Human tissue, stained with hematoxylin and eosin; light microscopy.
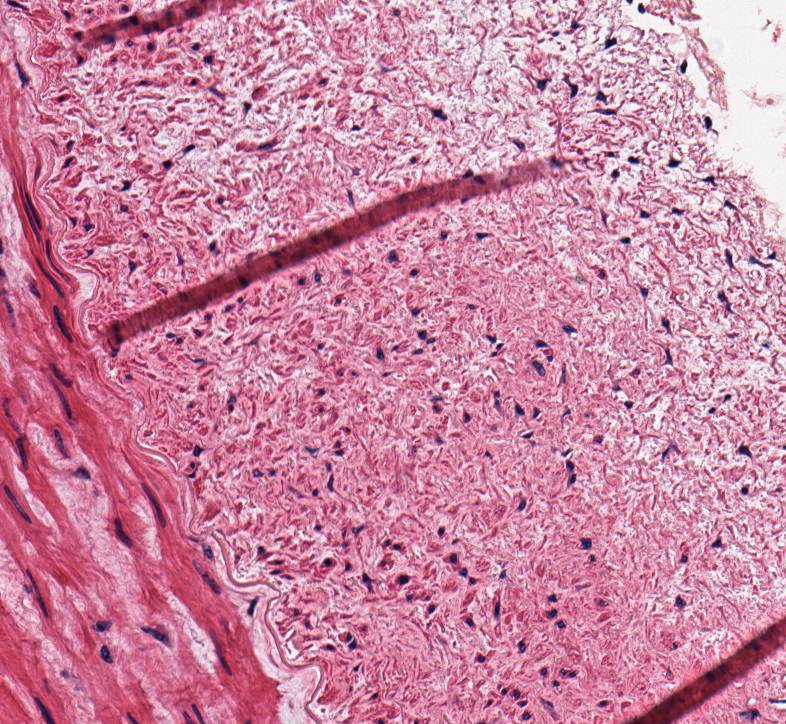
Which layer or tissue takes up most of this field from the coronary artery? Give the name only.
tunica intima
